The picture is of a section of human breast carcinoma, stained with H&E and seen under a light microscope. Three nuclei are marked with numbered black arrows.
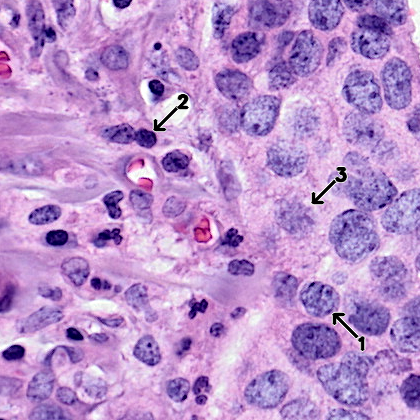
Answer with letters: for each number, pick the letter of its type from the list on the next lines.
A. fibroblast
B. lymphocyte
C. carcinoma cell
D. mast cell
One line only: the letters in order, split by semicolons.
C; B; C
